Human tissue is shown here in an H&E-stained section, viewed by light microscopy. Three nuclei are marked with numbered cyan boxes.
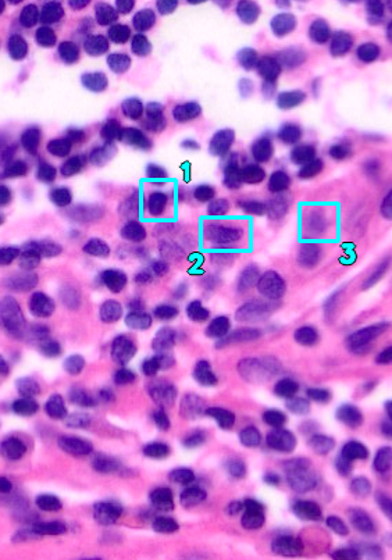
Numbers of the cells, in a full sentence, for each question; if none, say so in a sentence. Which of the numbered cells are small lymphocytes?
Cell 1 is a small lymphocyte, and this holds for no other numbered cell.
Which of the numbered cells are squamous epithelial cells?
Honestly, none of the numbered cells are squamous epithelial cells.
